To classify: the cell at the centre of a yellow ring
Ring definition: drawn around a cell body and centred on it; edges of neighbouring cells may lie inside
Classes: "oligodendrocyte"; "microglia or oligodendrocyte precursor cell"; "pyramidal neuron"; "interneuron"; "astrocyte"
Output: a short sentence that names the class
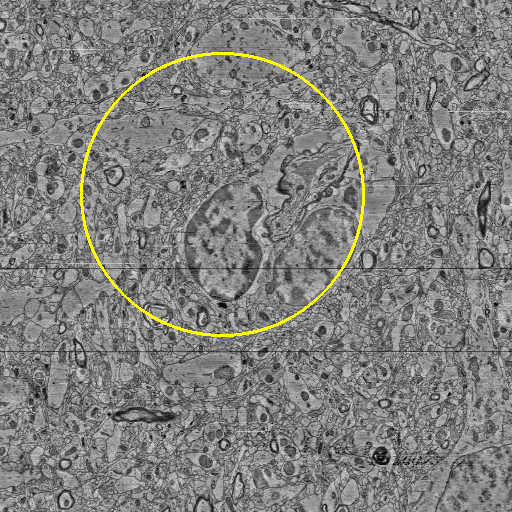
The ringed cell is a microglial cell or oligodendrocyte precursor cell.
